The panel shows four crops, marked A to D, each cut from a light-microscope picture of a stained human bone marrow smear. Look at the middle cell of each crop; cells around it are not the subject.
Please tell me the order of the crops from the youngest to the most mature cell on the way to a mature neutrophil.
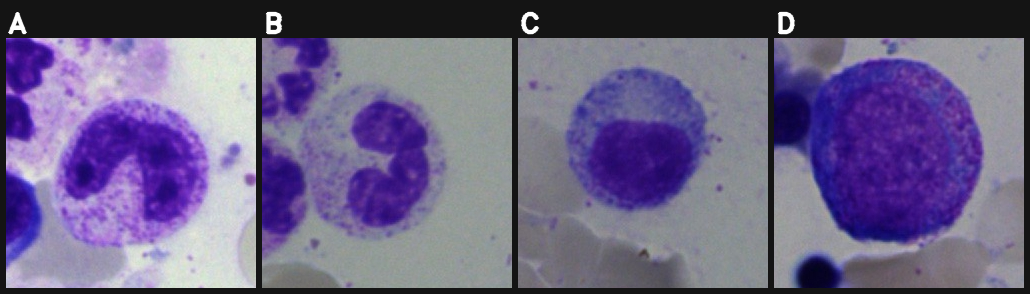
D, C, A, B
